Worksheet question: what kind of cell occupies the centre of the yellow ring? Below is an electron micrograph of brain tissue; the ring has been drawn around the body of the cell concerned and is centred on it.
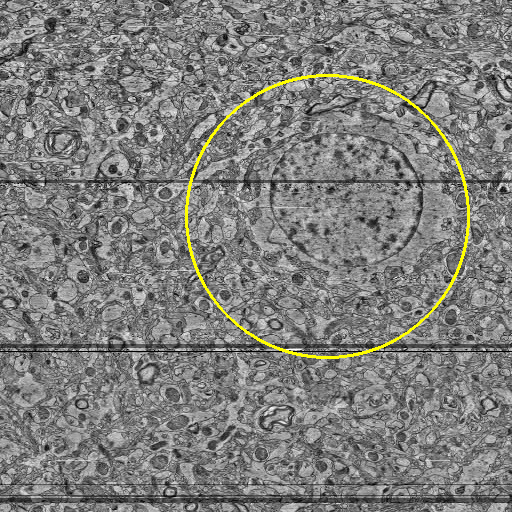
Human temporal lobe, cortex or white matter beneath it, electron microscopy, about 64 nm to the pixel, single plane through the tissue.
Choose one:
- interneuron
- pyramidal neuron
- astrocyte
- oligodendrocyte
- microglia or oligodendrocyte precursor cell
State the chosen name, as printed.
astrocyte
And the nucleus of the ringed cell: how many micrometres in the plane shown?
About 9 micrometres across, as seen in this plane.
